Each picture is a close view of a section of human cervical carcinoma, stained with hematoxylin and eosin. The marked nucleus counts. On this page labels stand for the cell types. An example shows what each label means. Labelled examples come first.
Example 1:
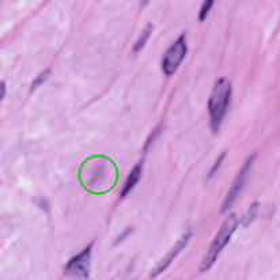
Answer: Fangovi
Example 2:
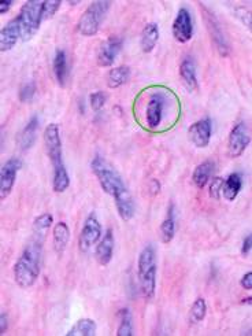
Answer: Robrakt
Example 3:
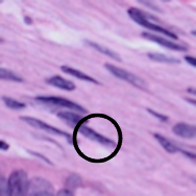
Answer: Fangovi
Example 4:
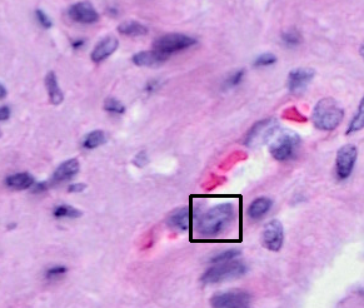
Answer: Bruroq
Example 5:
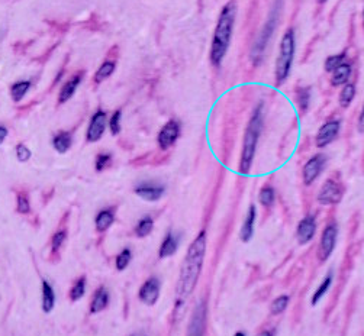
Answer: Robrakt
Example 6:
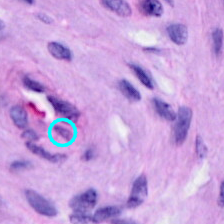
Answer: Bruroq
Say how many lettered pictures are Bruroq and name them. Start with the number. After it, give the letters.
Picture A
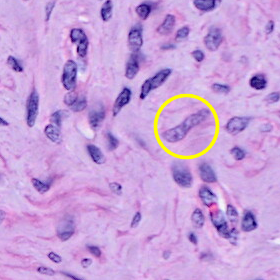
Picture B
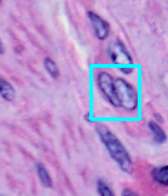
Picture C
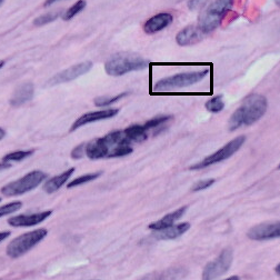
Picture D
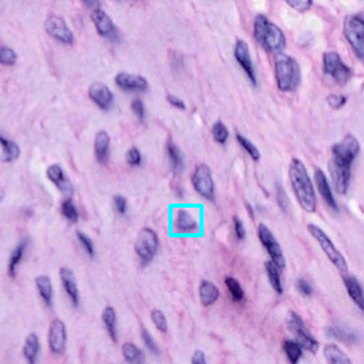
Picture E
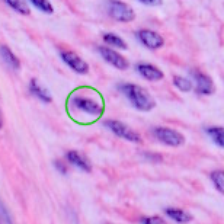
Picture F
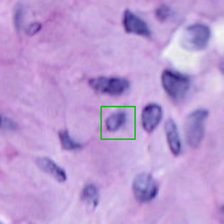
Count: 1 (B)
